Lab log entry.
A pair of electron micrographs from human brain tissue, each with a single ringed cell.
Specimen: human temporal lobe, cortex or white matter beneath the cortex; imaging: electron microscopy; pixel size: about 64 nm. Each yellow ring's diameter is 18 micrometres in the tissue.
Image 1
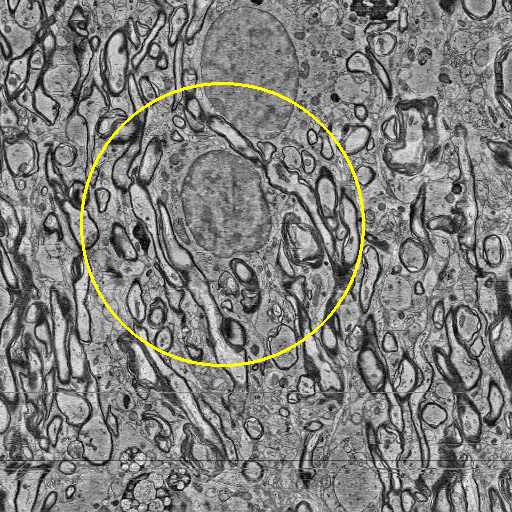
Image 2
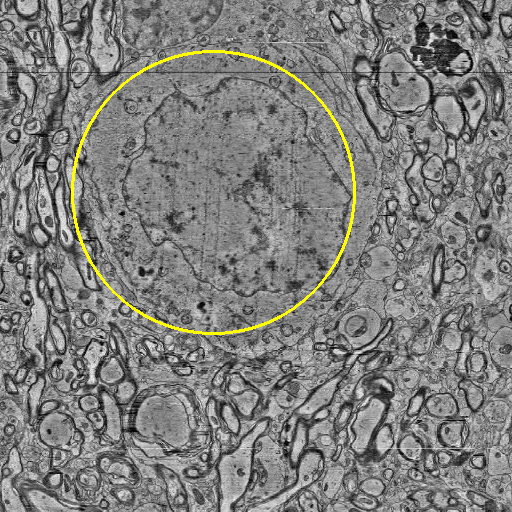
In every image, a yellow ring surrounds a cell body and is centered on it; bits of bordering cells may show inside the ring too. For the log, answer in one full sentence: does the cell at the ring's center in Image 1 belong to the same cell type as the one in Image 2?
No, the cells at the ring centers in Image 1 and Image 2 are of separate types.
